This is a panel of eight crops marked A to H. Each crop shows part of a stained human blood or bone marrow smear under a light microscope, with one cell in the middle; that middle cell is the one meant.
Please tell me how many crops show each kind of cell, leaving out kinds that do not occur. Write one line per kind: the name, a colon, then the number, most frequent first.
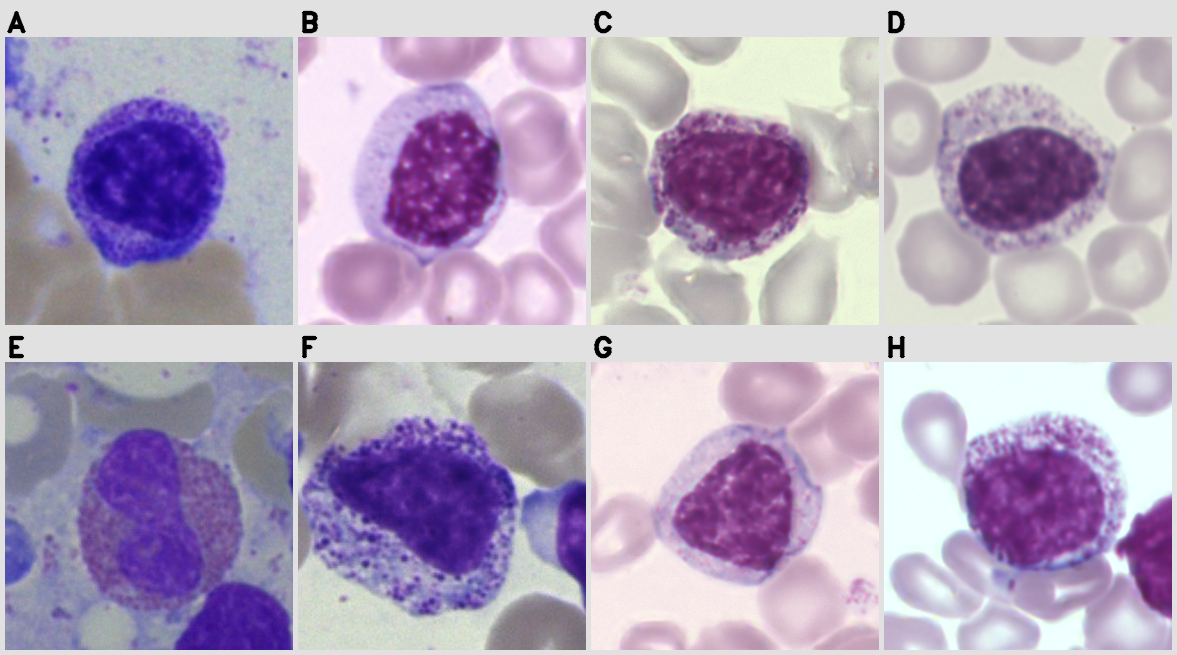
myelocyte: 7
eosinophil: 1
